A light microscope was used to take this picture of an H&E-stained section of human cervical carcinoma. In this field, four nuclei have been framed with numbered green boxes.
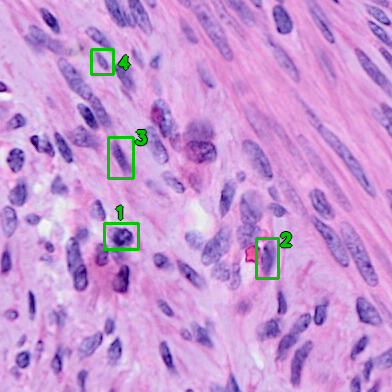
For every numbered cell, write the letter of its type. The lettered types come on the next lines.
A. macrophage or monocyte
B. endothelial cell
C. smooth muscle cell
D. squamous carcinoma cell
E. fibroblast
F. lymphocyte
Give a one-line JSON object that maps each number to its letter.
{"1": "F", "2": "B", "3": "C", "4": "C"}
